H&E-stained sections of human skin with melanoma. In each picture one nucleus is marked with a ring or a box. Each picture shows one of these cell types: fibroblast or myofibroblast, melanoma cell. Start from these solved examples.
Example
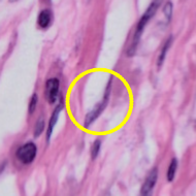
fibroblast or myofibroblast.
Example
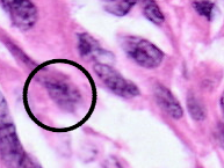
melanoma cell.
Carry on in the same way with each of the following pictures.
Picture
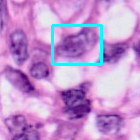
melanoma cell.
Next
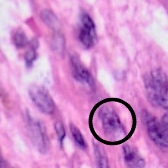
melanoma cell.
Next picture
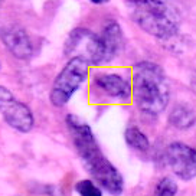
melanoma cell.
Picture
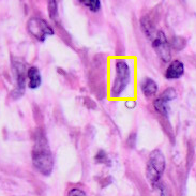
fibroblast or myofibroblast.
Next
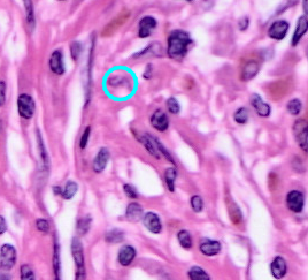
fibroblast or myofibroblast.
